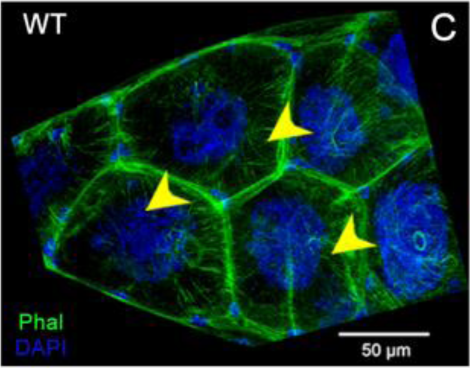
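These are nurse cells of an egg chamber, large polygonal cells each holding a big round blue nucleus. Bright green outlines the borders between neighbouring cells. Thin, straight green filaments extend inward from the borders and radiate toward the nuclei. The nuclei look rounded and sit roughly centrally in their cells.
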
